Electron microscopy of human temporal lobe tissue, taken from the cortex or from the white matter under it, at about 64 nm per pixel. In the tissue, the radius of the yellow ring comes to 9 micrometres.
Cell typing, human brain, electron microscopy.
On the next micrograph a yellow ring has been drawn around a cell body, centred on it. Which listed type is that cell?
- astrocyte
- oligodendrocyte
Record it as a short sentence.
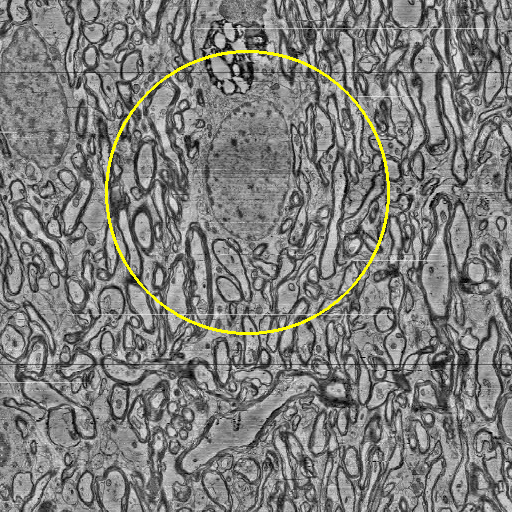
The cell body in the ring's centre belongs to an astrocyte.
